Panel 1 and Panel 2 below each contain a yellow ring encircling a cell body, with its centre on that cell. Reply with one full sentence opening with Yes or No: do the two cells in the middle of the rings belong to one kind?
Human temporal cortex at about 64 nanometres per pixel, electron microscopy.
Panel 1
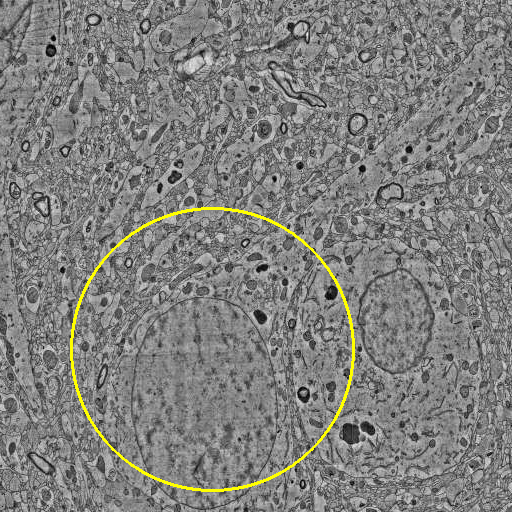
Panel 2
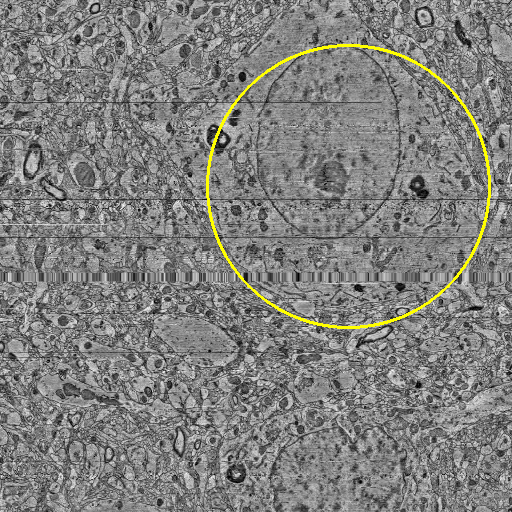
Yes, the cells at the middle of the Panel 1 ring and the Panel 2 ring are of one kind.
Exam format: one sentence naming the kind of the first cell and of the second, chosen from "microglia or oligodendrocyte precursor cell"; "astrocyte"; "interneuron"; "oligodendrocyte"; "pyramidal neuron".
Each one of the two ringed cells is a pyramidal neuron.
